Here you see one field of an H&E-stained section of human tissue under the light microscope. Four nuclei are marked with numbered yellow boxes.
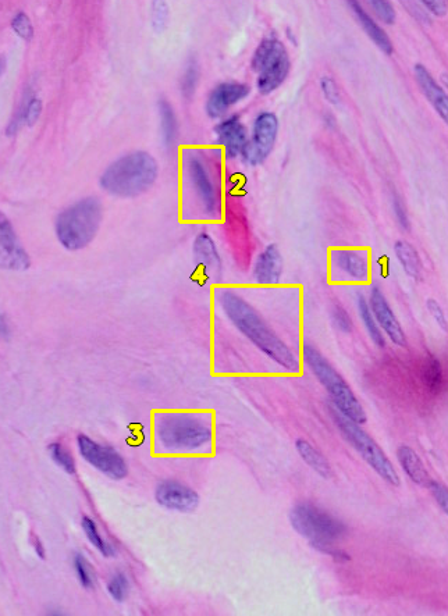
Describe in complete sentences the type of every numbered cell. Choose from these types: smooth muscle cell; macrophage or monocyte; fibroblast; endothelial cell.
Cell 1 is a smooth muscle cell, cell 2 is an endothelial cell, cell 3 is a fibroblast and cell 4 is a smooth muscle cell.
